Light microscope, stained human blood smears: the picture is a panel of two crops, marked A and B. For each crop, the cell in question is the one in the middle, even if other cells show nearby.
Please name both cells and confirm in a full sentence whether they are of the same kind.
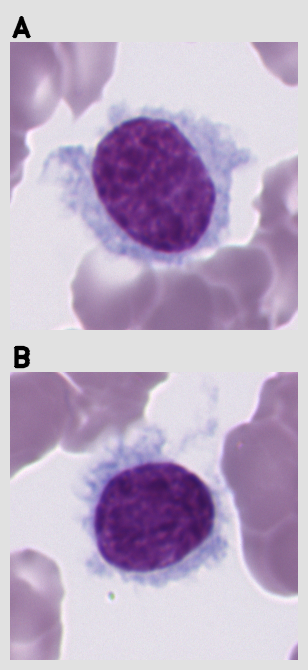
Yes, the cells found in the middle of both crops are hairy cells.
